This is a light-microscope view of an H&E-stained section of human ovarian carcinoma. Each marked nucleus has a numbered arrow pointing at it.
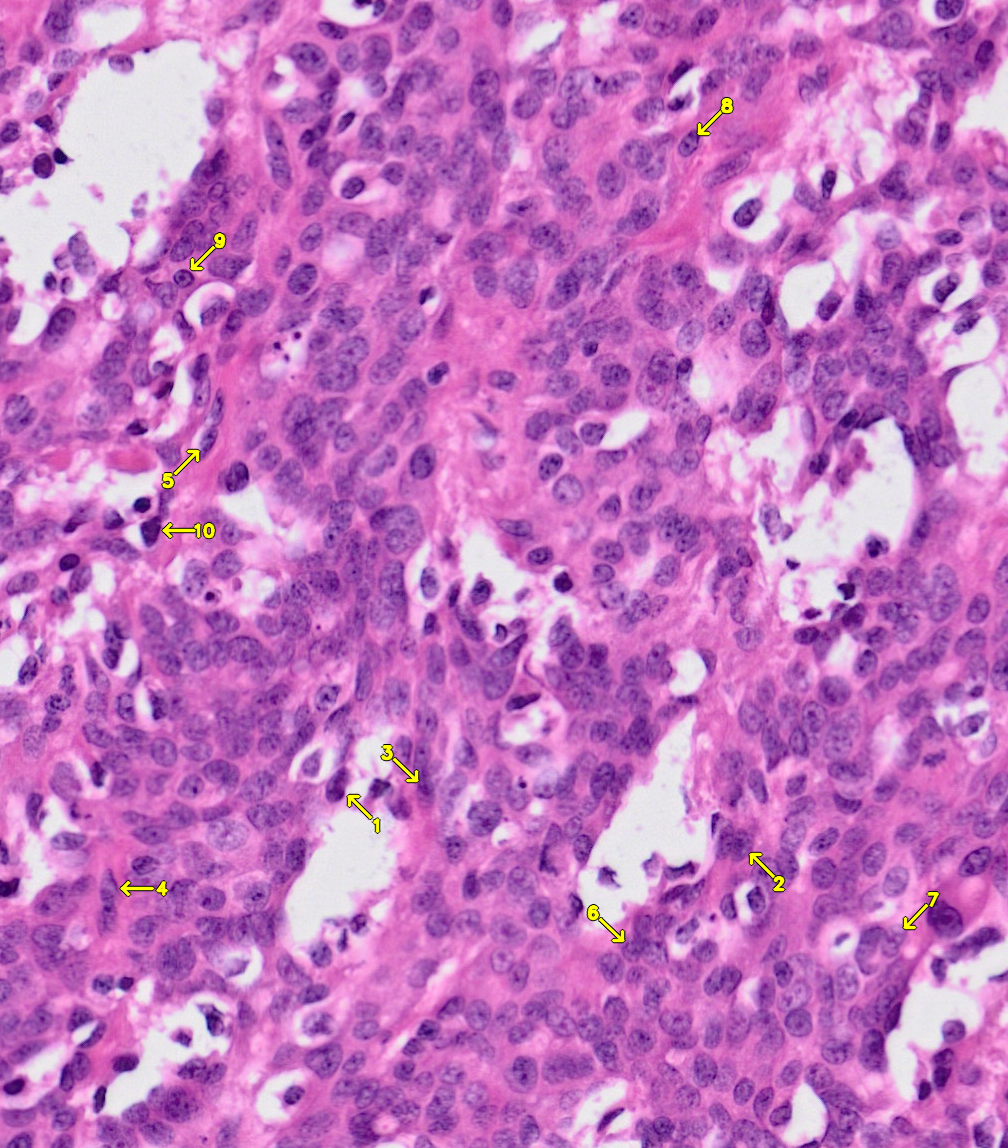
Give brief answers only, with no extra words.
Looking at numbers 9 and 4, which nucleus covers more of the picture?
4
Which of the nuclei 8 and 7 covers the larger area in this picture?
7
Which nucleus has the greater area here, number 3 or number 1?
1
